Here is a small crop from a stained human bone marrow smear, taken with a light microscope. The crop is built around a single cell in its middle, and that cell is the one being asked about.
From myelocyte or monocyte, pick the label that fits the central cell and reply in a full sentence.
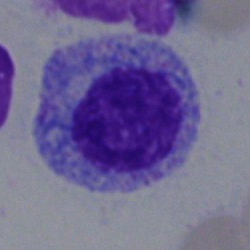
The cell at the heart of this crop is a myelocyte.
